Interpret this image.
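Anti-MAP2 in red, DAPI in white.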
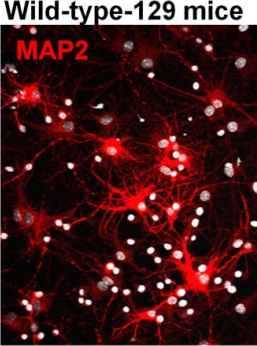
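Many small round white nuclei are scattered across a dark field, with a subset of cells whose cell bodies and processes are filled with red. These red cells send out several long, thin processes that branch repeatedly and reach toward neighbouring red cells, building a loose network. Most of the white nuclei belong to cells without red, so only part of the culture carries the label.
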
